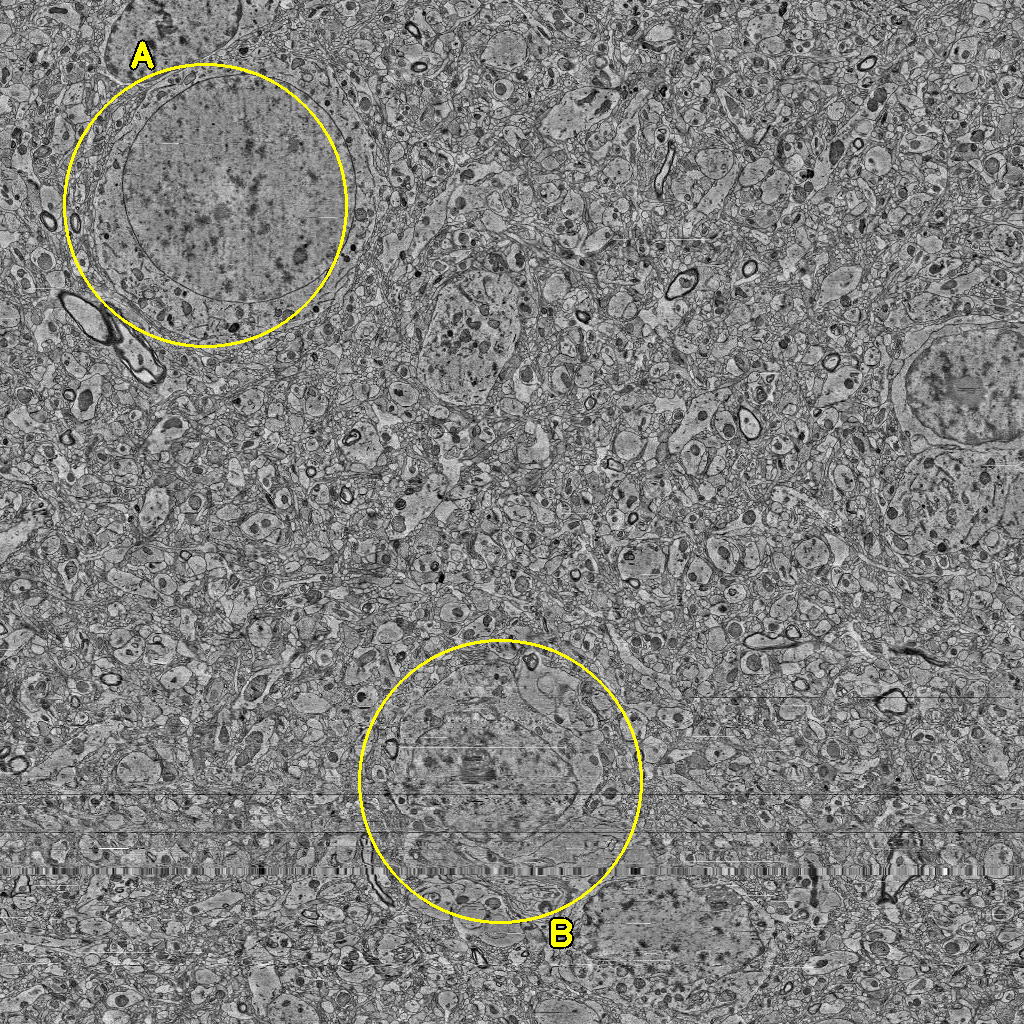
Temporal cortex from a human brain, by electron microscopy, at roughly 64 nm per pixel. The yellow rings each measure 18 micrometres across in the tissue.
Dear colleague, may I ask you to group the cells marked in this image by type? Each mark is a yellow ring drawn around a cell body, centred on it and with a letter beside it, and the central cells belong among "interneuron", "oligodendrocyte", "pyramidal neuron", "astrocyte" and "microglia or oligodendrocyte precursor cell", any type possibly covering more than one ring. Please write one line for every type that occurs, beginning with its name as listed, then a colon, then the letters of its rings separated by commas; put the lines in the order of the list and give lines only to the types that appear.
interneuron: B
pyramidal neuron: A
